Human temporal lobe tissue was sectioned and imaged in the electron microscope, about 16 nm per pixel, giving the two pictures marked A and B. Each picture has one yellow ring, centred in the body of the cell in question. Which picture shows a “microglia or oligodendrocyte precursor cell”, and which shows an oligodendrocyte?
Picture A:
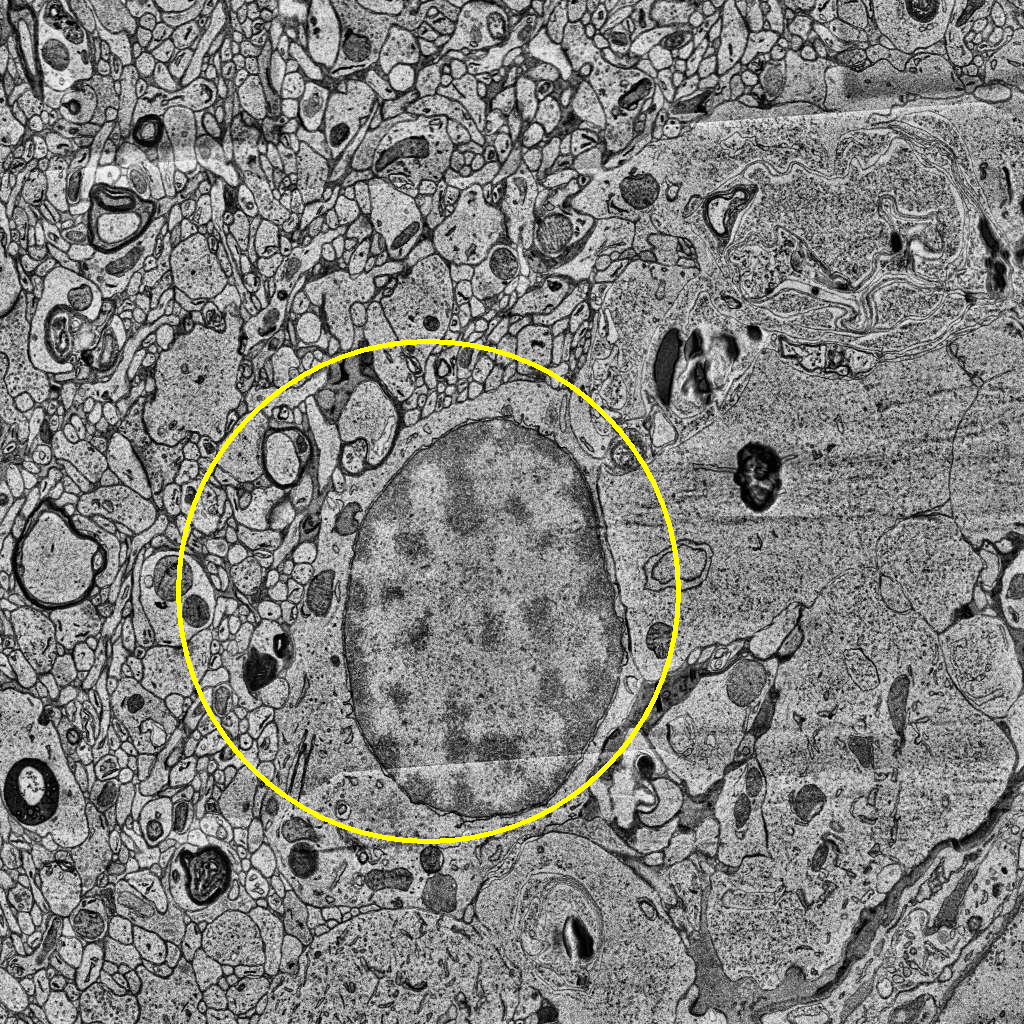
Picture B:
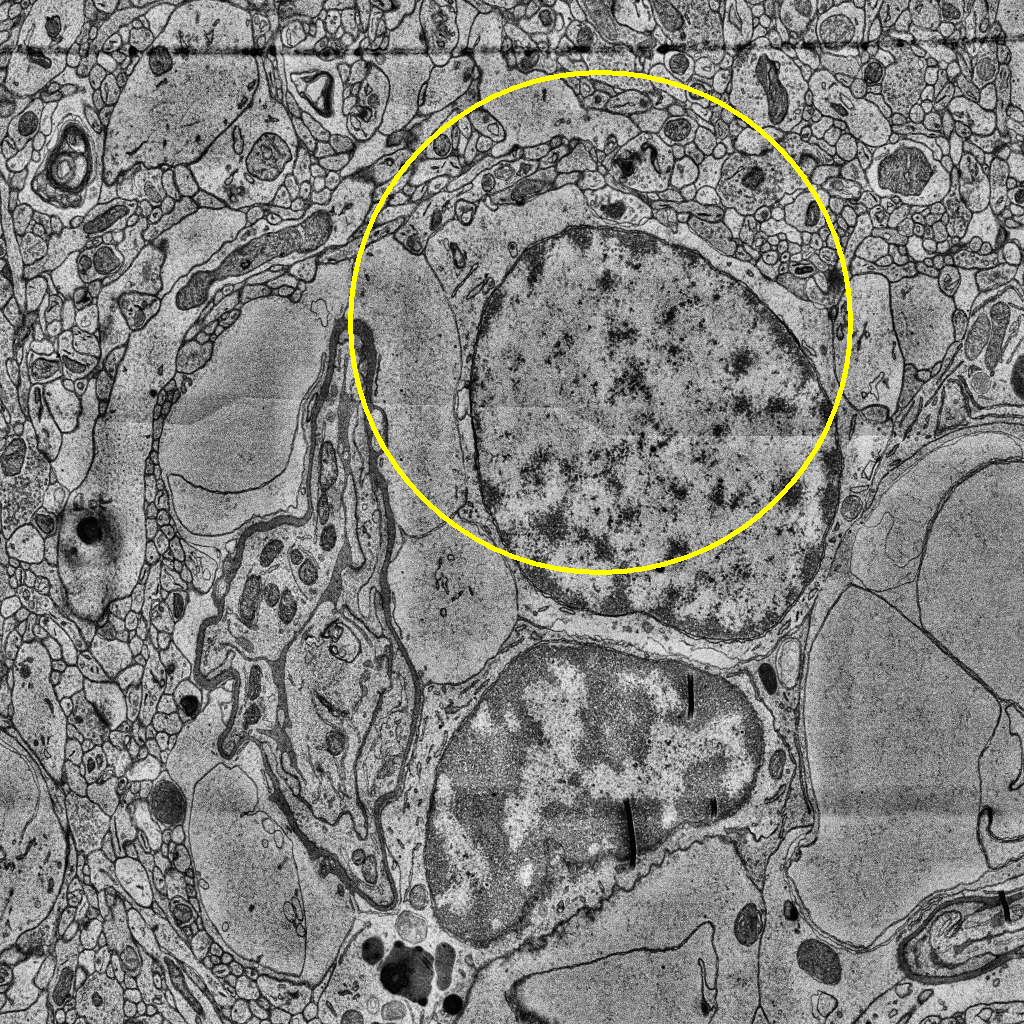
It is picture A that shows an oligodendrocyte, and picture B that shows a “microglia or oligodendrocyte precursor cell”.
